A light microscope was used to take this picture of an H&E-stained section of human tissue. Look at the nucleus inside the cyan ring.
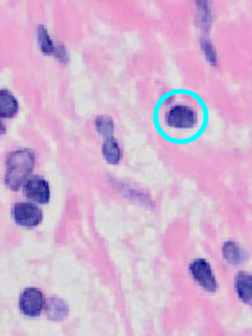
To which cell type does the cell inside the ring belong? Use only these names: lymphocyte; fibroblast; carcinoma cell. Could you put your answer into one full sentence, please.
Cell type answer for this item: the cell inside the ring is a lymphocyte.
